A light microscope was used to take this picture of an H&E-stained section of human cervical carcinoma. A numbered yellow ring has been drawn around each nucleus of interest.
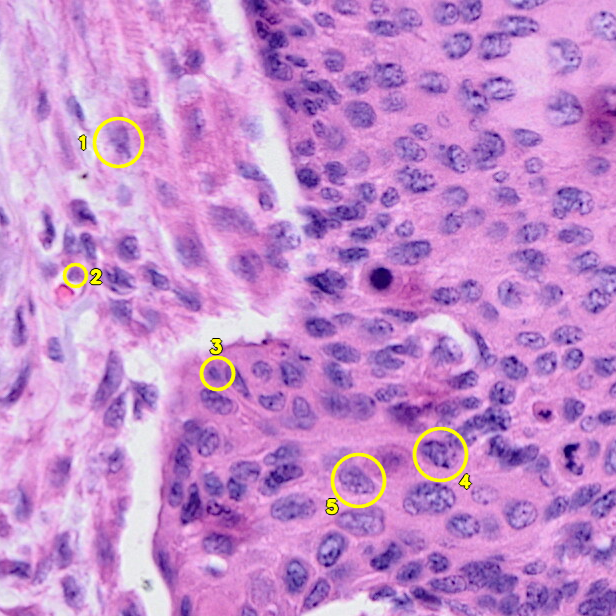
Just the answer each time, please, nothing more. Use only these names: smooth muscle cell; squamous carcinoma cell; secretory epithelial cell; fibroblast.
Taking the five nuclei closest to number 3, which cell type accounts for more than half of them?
squamous carcinoma cell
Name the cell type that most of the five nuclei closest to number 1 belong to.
fibroblast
